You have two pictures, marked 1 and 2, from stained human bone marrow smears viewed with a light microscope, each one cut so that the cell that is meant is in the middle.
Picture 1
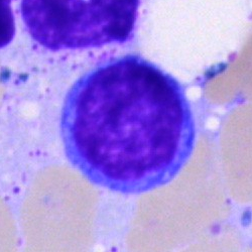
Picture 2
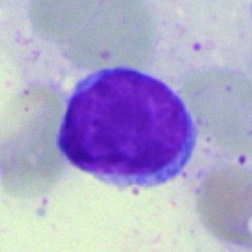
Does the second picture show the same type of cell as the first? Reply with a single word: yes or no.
yes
